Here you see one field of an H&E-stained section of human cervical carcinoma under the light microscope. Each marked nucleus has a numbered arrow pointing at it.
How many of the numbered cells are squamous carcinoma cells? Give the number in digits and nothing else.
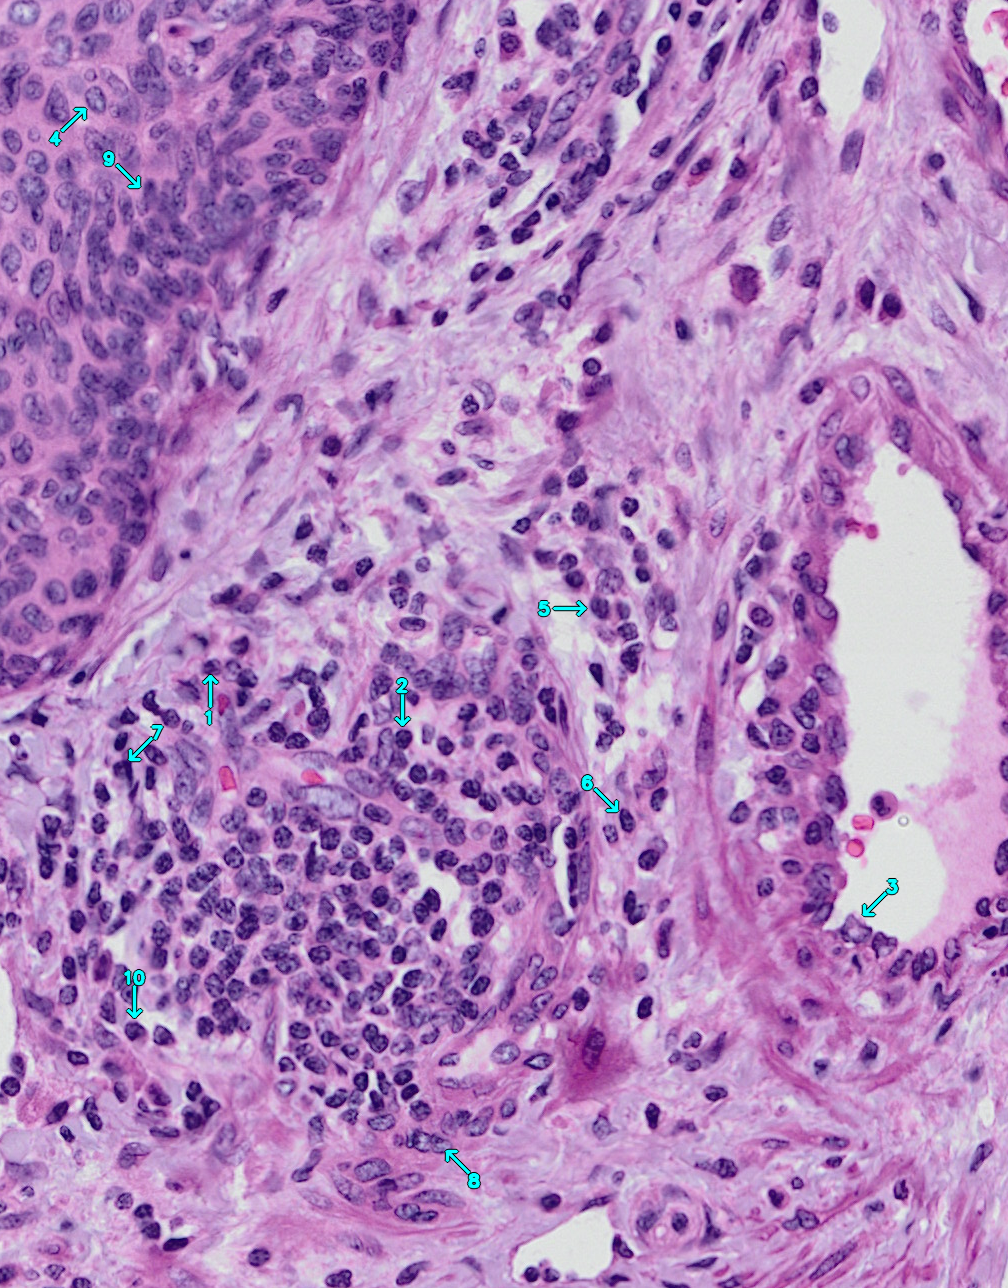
2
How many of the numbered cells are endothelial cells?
2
